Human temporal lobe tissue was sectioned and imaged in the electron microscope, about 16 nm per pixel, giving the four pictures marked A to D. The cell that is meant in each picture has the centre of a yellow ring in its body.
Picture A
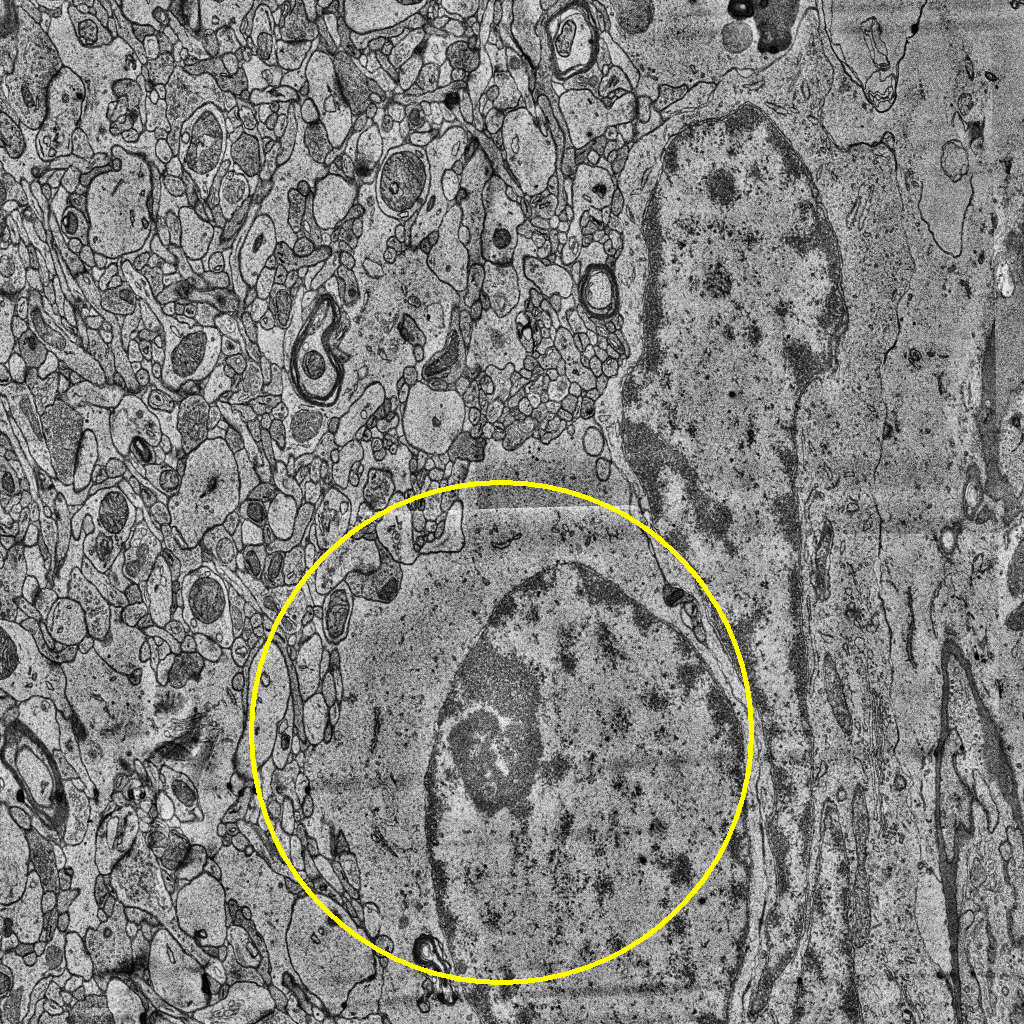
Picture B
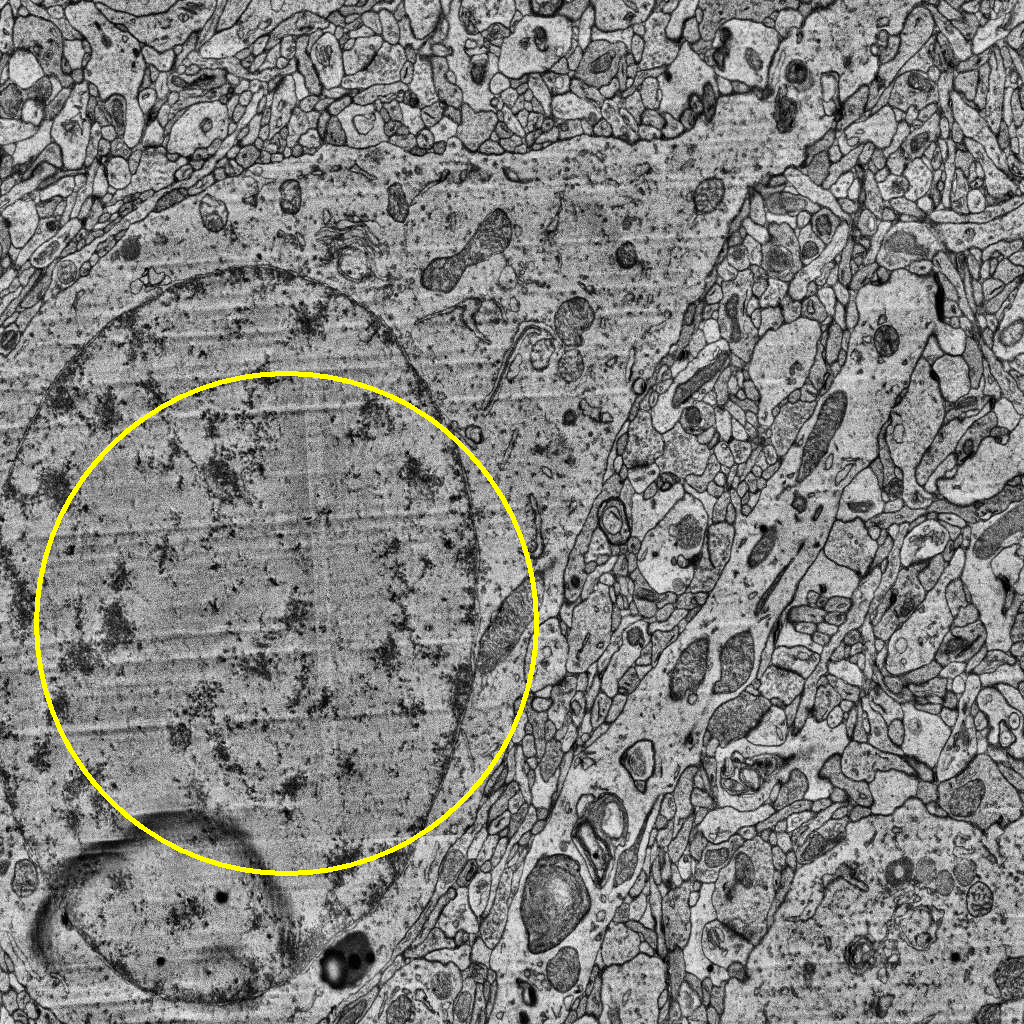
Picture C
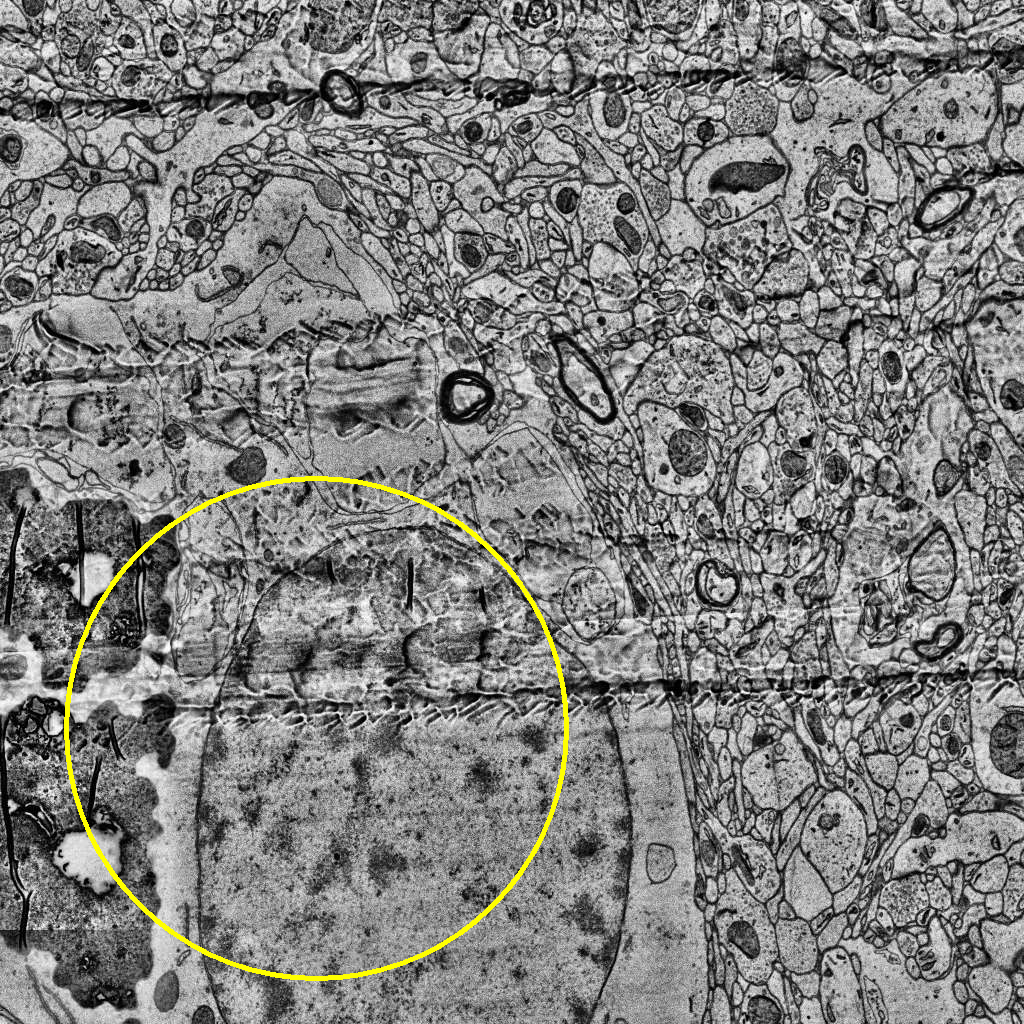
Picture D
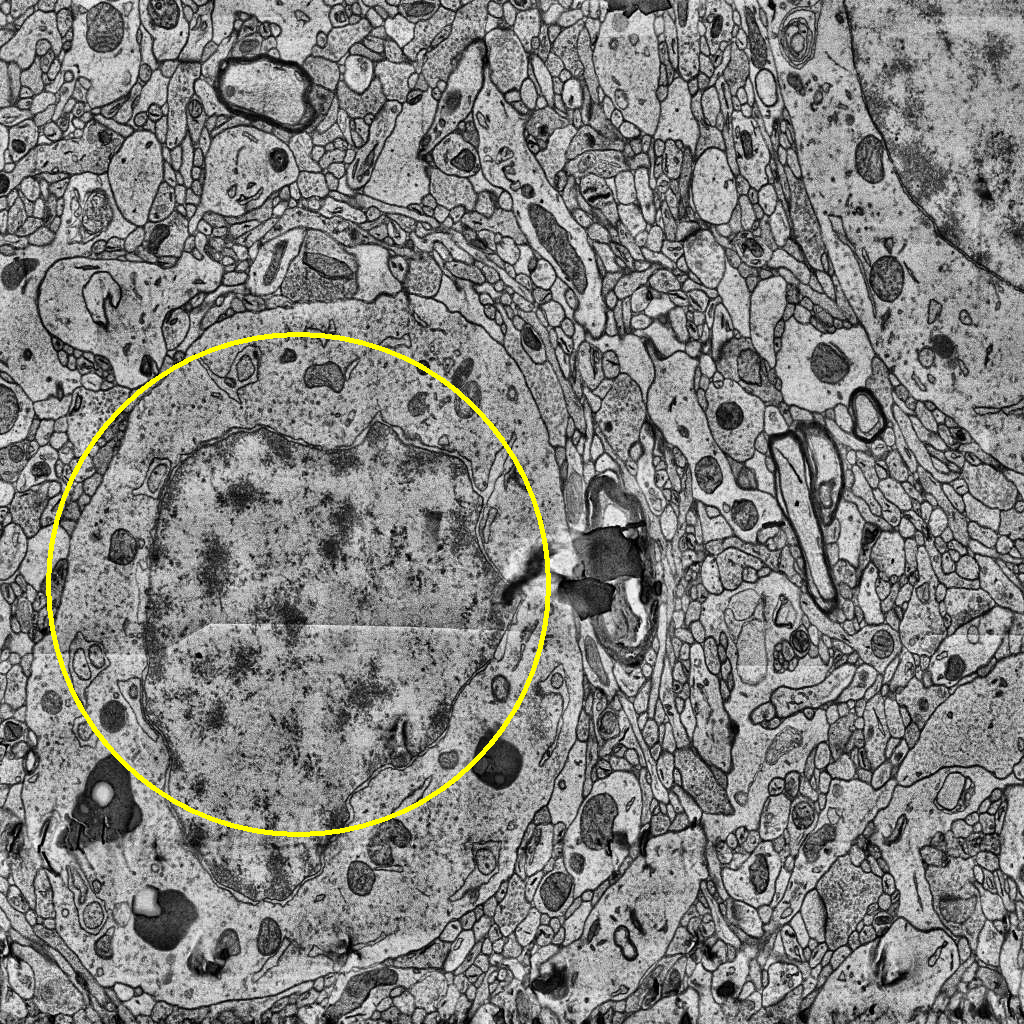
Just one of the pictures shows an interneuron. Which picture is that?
Picture D is the one that shows the interneuron.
